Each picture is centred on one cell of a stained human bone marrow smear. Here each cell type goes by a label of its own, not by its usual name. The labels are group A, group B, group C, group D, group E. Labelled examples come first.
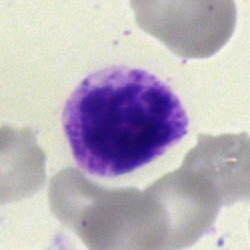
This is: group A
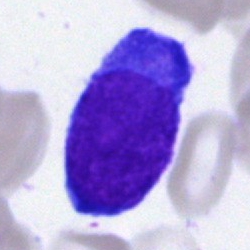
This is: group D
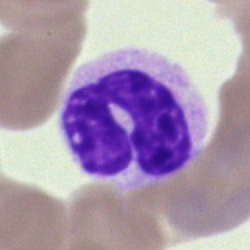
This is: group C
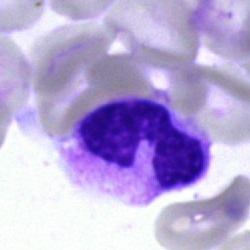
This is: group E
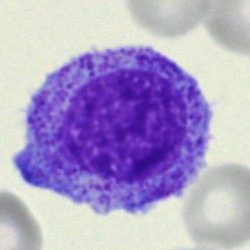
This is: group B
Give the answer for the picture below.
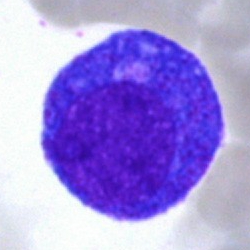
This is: group B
